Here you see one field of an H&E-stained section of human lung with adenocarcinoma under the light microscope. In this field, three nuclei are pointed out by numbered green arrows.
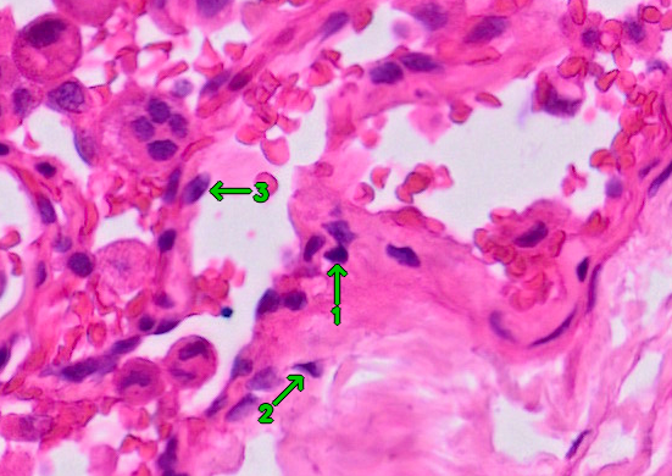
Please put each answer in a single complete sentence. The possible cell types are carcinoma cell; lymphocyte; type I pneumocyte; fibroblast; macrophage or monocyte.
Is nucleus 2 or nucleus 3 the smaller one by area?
Nucleus 2 covers less area, with nucleus 3 about 2 times as large.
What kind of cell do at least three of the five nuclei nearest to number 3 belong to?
Macrophages or monocytes account for more than half of the five nuclei nearest to number 3.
